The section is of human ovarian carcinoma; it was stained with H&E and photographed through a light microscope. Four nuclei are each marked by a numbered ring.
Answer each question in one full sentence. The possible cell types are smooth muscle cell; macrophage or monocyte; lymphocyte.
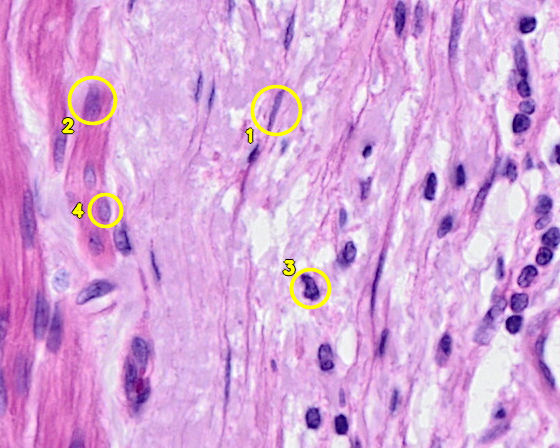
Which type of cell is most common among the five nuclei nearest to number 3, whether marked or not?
Macrophages or monocytes make up most of the five nuclei closest to number 3.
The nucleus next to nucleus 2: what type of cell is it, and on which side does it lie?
A smooth muscle cell lies closest, below and to the left of nucleus 2.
